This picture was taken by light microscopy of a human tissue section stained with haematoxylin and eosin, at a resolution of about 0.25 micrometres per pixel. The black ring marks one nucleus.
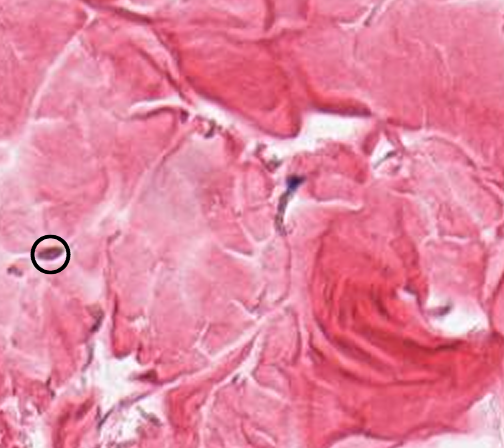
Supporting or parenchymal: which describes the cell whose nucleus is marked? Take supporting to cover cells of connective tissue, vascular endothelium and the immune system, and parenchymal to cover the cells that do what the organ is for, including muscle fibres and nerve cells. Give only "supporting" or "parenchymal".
supporting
